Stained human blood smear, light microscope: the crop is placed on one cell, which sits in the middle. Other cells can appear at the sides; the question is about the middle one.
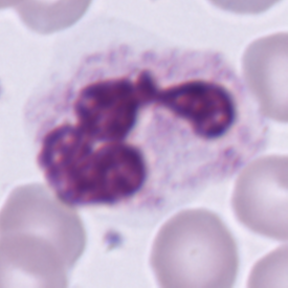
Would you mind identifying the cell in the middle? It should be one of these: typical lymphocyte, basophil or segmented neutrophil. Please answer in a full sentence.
The crop's centre is taken up by a segmented neutrophil.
